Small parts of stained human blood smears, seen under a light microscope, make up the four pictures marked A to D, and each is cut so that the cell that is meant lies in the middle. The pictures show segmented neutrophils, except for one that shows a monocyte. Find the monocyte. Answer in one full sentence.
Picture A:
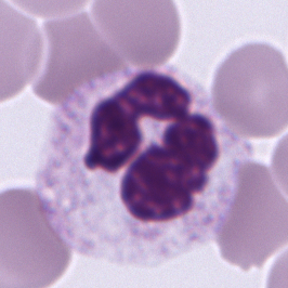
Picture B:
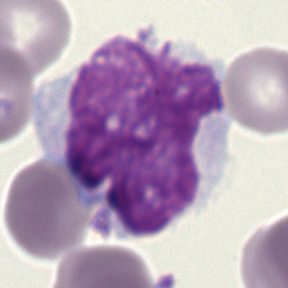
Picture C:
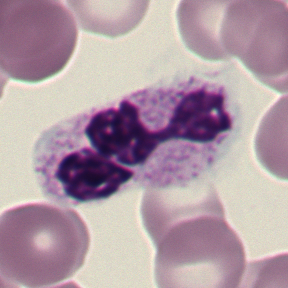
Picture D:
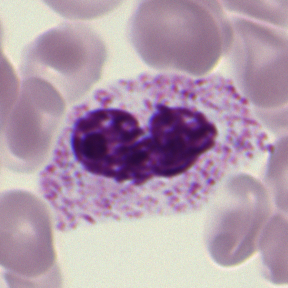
Picture B shows the monocyte.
